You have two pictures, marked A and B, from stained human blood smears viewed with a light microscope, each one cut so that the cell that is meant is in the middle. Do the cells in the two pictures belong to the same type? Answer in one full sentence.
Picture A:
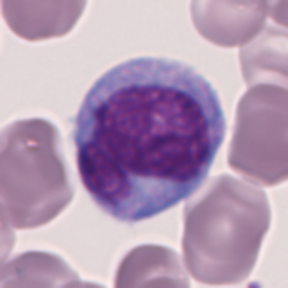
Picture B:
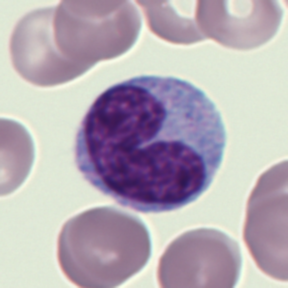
Yes, both are monocytes.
